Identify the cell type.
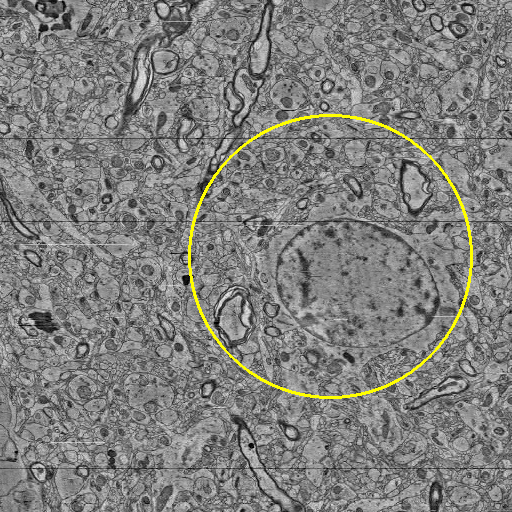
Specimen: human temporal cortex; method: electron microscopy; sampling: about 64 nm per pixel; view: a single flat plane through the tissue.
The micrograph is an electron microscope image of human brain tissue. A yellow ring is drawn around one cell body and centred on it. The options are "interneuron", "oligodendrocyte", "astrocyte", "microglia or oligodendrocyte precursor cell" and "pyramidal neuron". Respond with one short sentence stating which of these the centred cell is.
The cell body in the ring belongs to an astrocyte.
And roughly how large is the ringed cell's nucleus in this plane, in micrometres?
The nucleus appears roughly 11 by 9 micrometres in this plane.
